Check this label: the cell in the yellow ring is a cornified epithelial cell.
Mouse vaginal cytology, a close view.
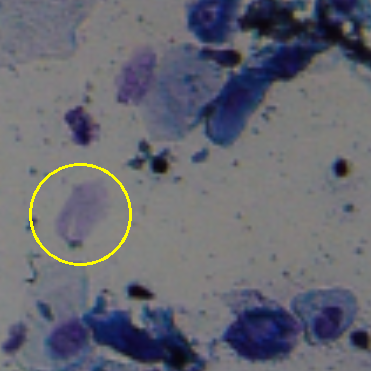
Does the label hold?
The label holds; the cell is a cornified epithelial cell.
